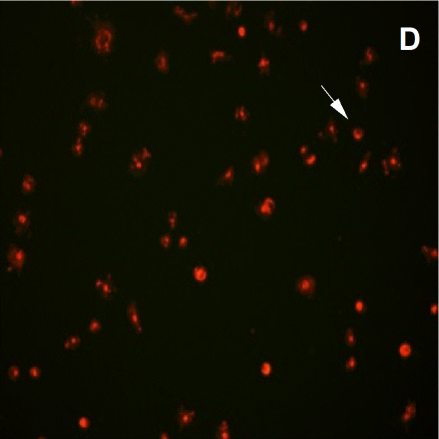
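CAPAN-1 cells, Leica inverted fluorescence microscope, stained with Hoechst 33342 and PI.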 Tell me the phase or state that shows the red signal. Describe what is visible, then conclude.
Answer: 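Many small nuclei glow red on a dark background. Red nuclei are scattered singly across the field.
Necrosed cell nuclei.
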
